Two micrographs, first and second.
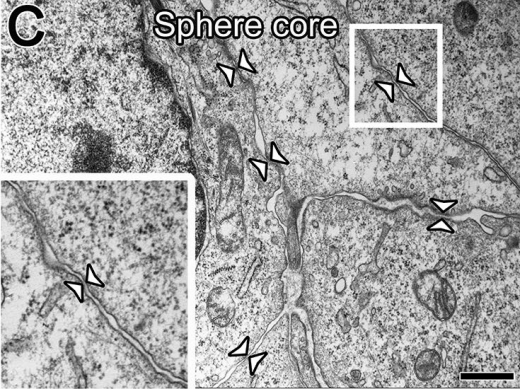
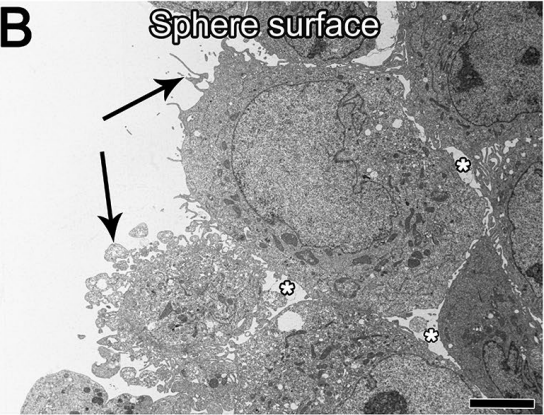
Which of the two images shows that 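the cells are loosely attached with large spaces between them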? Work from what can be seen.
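The second image. First image: neighbouring cells lie close, separated only by thin paired membranes. Second image: wide pale empty gaps lie between neighbouring cells.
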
